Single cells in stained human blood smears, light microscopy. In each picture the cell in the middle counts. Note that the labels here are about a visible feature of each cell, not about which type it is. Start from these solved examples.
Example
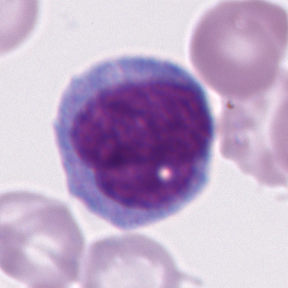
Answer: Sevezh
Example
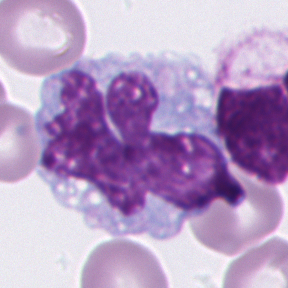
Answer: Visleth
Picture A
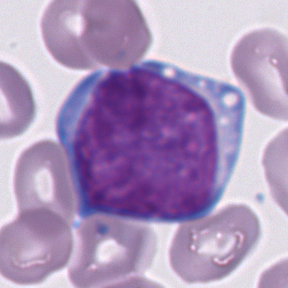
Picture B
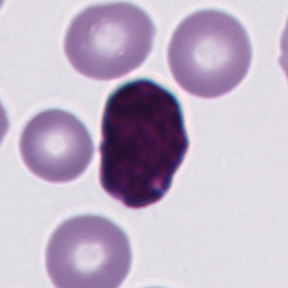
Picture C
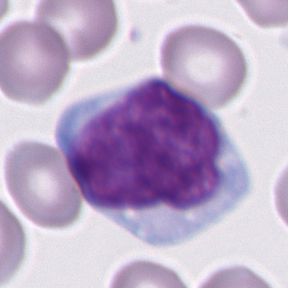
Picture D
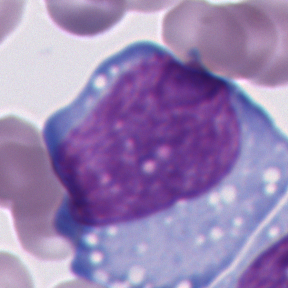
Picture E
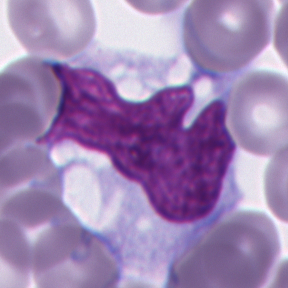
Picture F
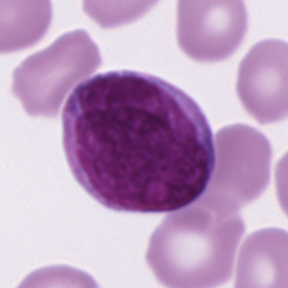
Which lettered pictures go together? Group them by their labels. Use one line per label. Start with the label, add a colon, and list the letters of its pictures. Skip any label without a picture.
Sevezh: B, F
Visleth: A, C, D, E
